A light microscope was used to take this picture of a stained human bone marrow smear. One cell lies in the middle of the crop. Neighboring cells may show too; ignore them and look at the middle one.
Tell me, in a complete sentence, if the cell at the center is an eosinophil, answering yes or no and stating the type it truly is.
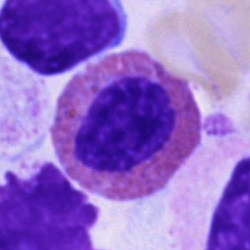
Yes, the cell at the centre of this crop is identified as an eosinophil.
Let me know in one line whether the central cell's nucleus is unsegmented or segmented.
The nucleus amounts to one compact mass with a round, oval or kidney-shaped outline.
